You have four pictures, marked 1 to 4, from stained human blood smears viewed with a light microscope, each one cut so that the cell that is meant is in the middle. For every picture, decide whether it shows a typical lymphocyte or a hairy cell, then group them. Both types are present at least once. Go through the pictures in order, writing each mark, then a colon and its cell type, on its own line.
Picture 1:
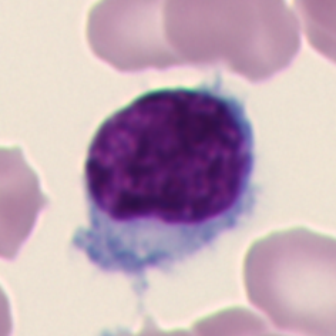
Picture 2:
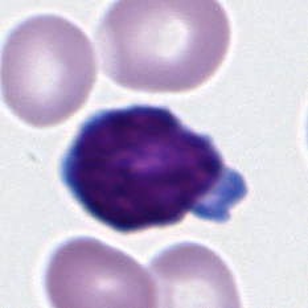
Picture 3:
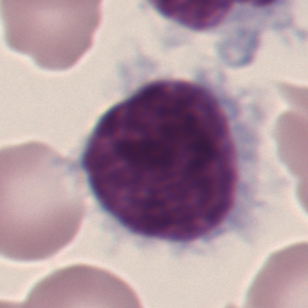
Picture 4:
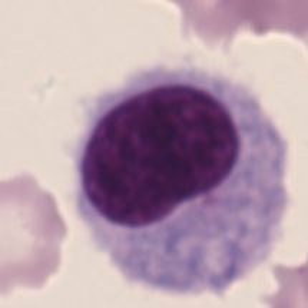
1: hairy cell
2: typical lymphocyte
3: hairy cell
4: hairy cell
